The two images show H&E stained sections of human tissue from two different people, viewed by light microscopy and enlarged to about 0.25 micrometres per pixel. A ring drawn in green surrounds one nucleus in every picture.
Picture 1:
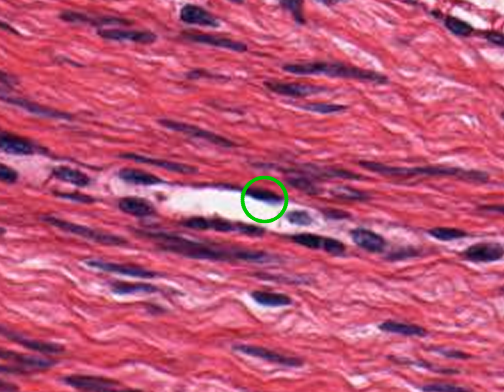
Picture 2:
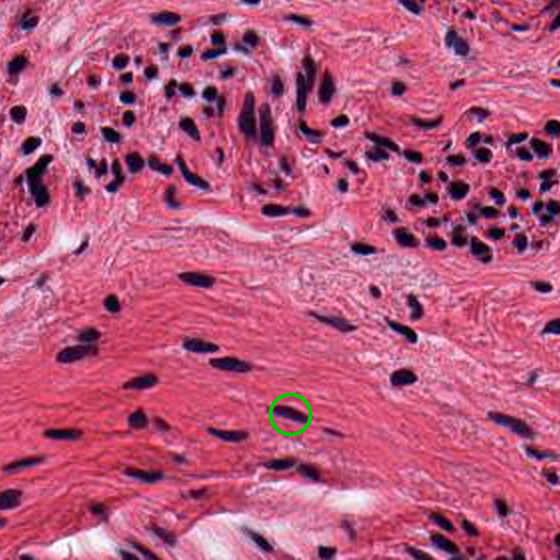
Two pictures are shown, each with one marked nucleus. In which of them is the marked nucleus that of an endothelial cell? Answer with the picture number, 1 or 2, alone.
1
